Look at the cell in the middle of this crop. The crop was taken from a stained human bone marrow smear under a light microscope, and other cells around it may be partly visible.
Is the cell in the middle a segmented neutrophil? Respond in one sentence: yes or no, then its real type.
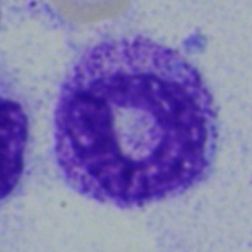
No, what sits in the centre of the crop is a band neutrophil rather than a segmented neutrophil.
